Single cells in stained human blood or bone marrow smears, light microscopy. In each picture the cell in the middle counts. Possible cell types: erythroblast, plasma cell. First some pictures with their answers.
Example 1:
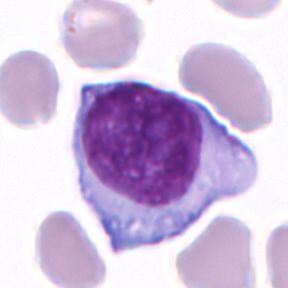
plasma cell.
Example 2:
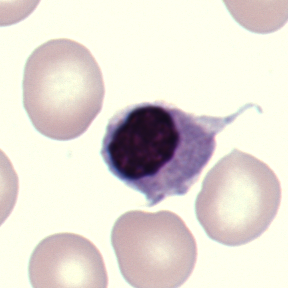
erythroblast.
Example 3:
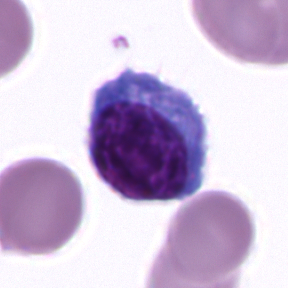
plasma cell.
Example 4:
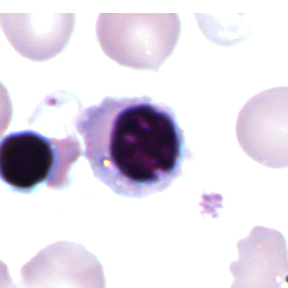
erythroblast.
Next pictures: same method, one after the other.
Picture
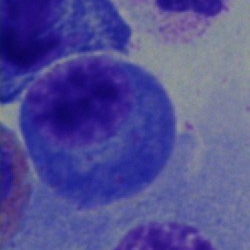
plasma cell.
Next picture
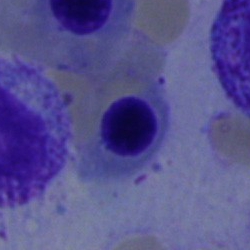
erythroblast.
